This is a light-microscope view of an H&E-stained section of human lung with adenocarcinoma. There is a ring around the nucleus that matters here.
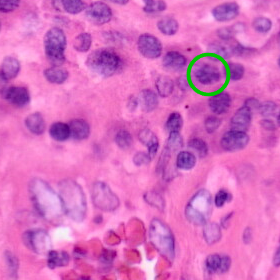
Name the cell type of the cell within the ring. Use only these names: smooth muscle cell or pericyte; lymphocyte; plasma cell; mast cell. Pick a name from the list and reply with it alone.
plasma cell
